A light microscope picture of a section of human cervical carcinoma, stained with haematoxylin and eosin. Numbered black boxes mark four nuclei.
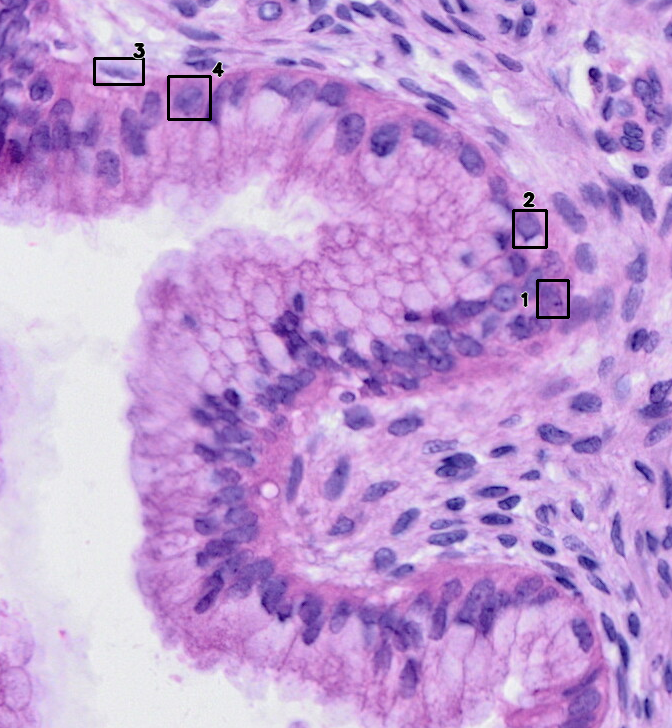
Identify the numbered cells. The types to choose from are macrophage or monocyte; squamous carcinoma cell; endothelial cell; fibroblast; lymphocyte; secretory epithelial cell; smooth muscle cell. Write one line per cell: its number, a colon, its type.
1: secretory epithelial cell
2: secretory epithelial cell
3: fibroblast
4: secretory epithelial cell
